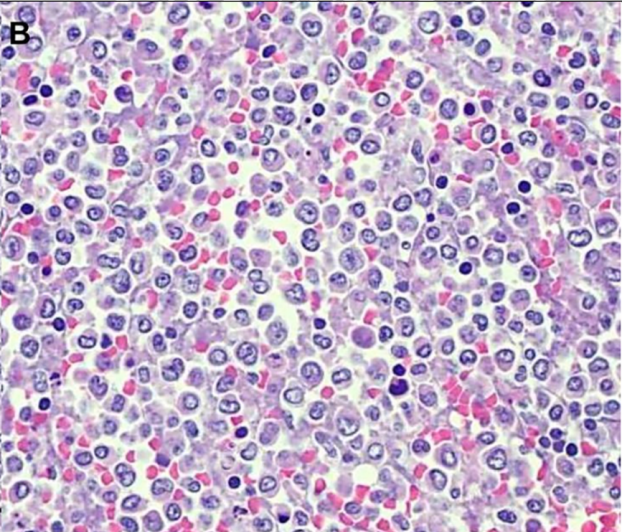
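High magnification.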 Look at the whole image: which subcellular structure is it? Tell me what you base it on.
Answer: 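Prominent central nucleoli. Many nuclei contain a distinct dark dot near their centre.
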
